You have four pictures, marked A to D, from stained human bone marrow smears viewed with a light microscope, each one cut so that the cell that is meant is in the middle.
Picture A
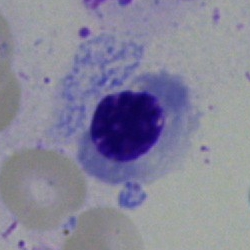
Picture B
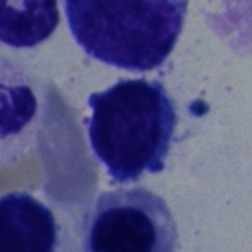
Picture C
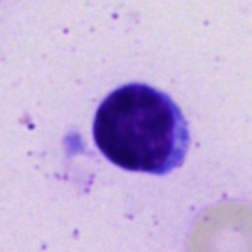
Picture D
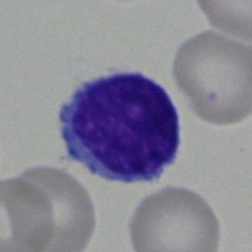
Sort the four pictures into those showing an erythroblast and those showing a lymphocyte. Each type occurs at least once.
A: erythroblast
B: lymphocyte
C: lymphocyte
D: lymphocyte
